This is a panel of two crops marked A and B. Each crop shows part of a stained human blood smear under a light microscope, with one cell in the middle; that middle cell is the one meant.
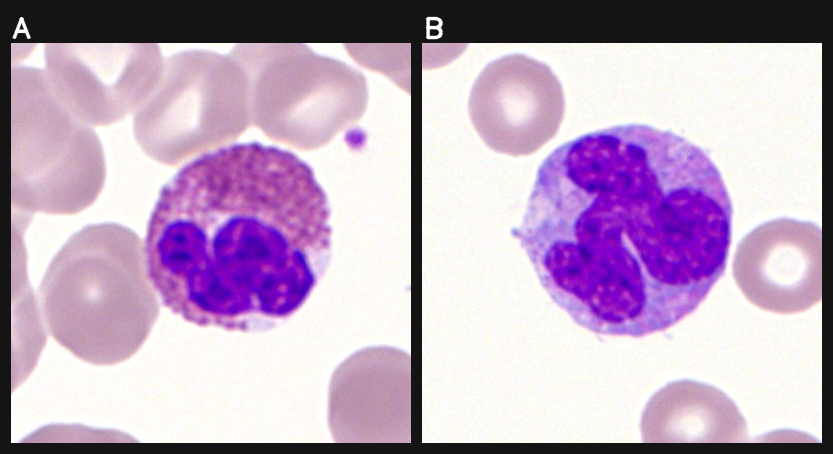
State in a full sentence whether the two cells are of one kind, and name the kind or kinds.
No, crop A gives us an eosinophil and crop B gives us a monocyte.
